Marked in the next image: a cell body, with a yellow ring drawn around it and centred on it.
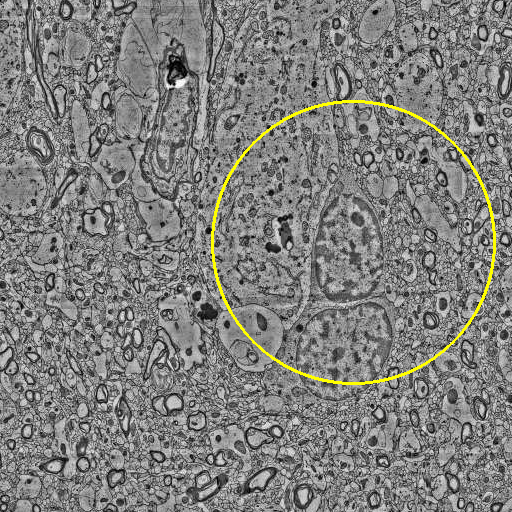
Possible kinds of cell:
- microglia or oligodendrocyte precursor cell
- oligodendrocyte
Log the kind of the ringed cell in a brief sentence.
The ringed cell body is that of an oligodendrocyte.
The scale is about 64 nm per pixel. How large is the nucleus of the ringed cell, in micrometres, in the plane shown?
In this plane the nucleus is about 7 micrometres by 5.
